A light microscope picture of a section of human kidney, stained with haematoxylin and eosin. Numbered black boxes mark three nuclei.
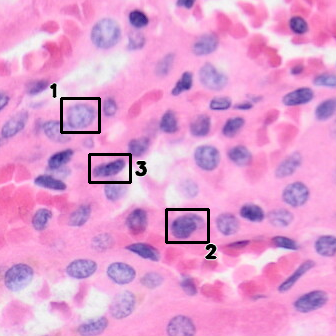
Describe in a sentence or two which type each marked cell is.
Cell 1 is a collecting duct cell. Cells 2 and 3 are loop of Henle or distal tubule cells.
